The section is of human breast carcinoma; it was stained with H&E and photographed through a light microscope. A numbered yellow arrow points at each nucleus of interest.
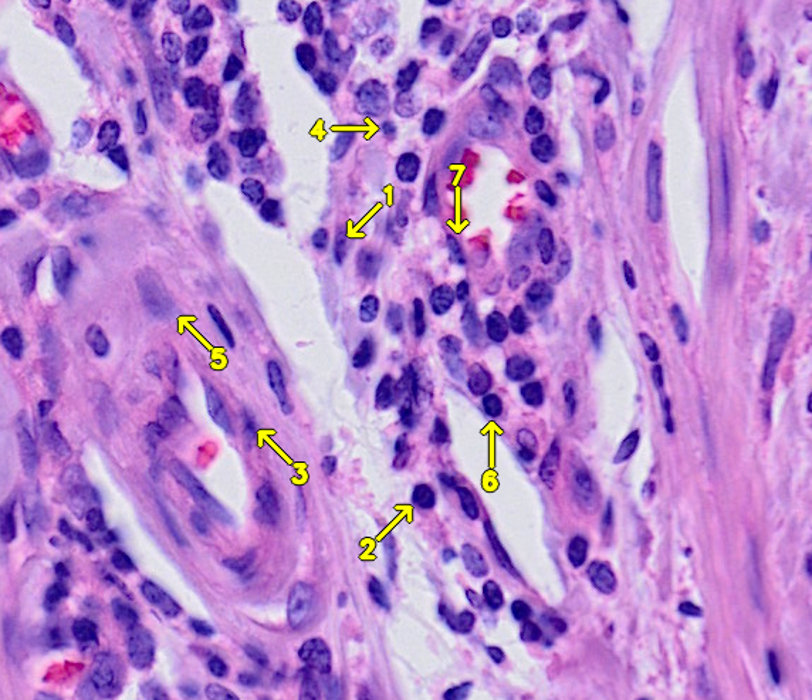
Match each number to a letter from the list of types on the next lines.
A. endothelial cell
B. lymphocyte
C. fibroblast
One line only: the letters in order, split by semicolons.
B; B; A; B; C; B; A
